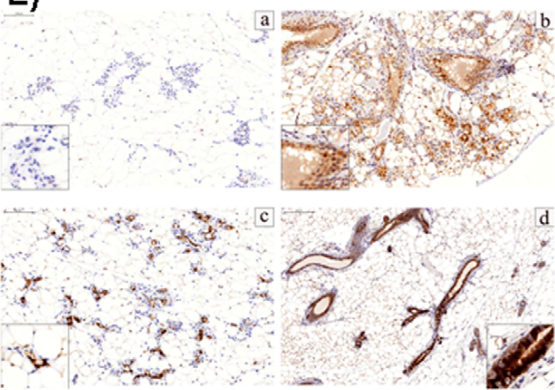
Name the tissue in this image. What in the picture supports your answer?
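Branching ducts lie embedded in a field of pale fat cells. Clusters of small glandular units are scattered through the fat.
Hence: mammary glands.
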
